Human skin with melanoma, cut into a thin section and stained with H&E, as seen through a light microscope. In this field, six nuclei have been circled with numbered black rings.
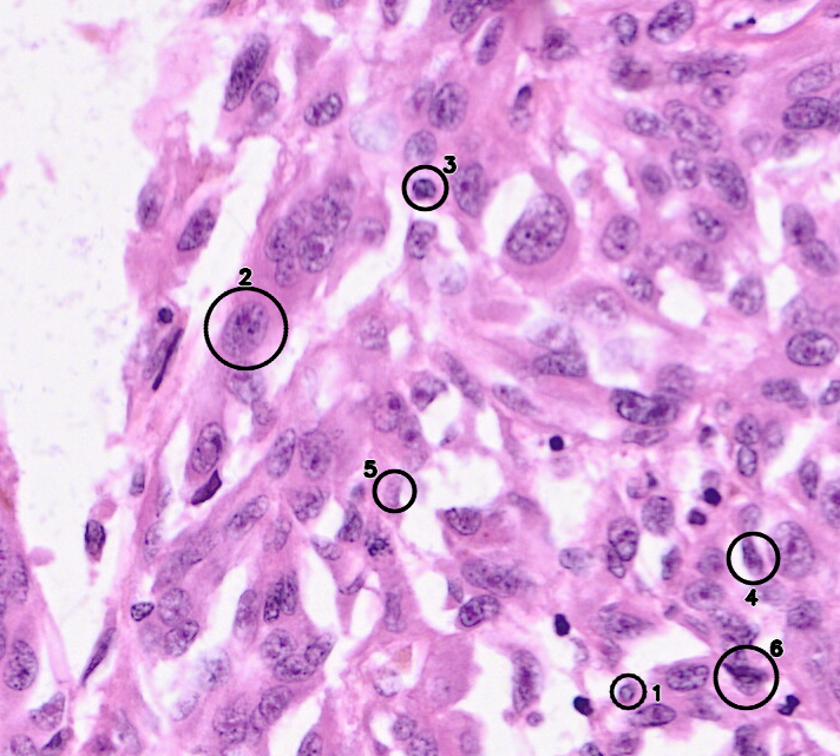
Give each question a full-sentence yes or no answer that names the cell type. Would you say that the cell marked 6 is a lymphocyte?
No, the cell at marker 6 is not a lymphocyte; it is a melanoma cell.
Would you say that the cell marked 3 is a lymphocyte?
Yes, and to answer plainly, cell 3 is a lymphocyte.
